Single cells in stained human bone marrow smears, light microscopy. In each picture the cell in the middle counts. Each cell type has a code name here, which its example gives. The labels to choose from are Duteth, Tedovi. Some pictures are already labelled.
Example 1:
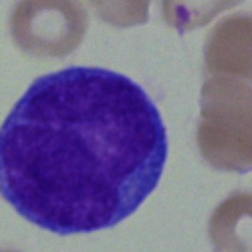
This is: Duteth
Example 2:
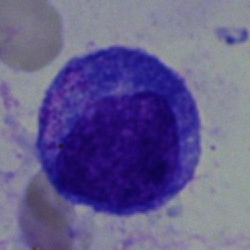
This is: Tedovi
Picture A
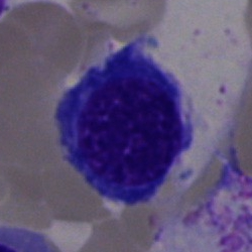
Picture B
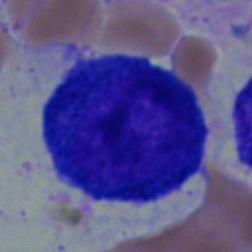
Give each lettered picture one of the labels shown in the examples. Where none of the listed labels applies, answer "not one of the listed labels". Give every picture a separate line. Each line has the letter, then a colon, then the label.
A: not one of the listed labels
B: Tedovi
